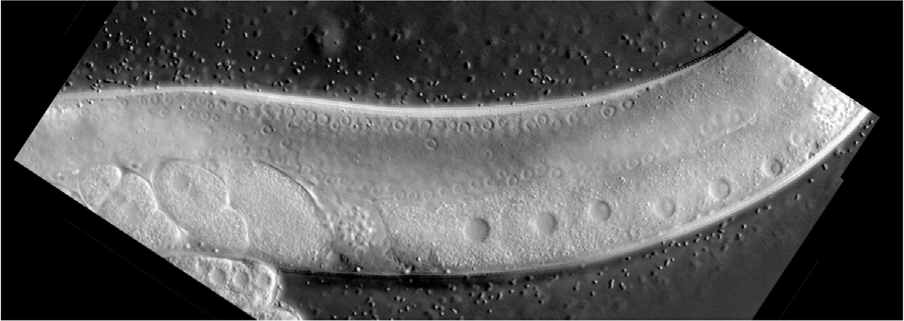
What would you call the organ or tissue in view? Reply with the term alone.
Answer: Germline.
